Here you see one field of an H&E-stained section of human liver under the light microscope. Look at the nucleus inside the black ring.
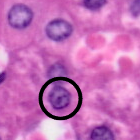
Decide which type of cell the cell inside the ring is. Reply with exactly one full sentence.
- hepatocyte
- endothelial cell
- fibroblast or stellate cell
Just put down that the cell inside the ring is a hepatocyte.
